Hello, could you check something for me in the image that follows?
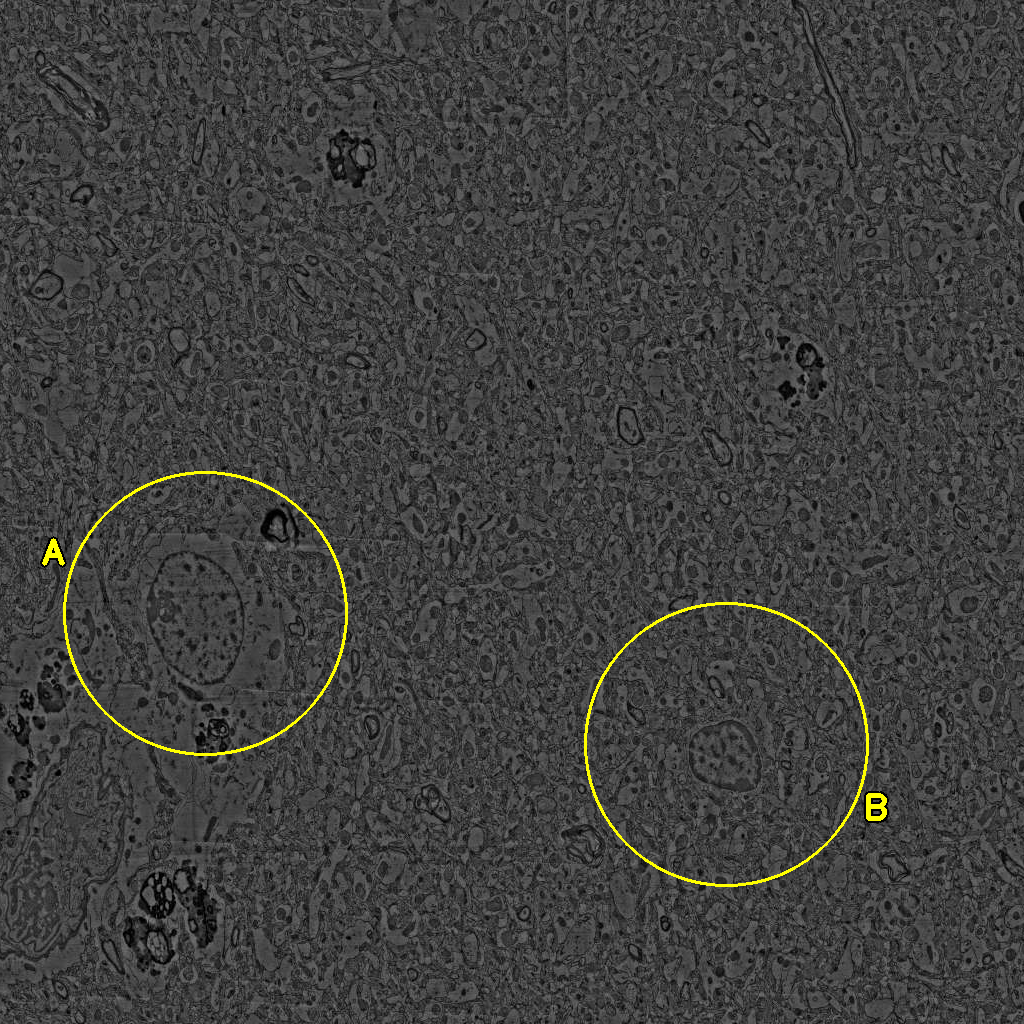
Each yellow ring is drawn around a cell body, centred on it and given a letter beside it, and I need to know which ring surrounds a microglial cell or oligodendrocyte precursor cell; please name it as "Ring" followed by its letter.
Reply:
Ring B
